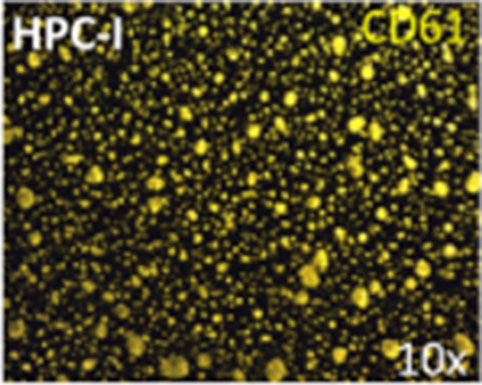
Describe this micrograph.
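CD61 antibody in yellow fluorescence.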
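Most spots are small and round, but they vary in size, and scattered among them are larger, brighter yellow patches several times the size of the single spots. The spots cover the whole field fairly evenly, with dark background visible between them.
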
